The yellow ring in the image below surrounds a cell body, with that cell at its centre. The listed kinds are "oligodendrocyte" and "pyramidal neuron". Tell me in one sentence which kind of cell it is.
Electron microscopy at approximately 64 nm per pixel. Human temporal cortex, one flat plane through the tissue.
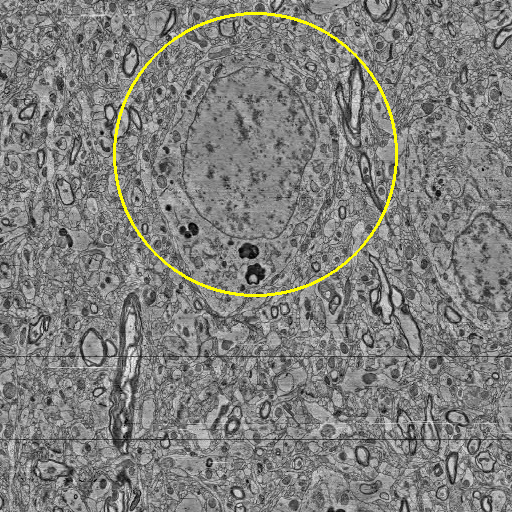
The centre of the ring holds a pyramidal neuron.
